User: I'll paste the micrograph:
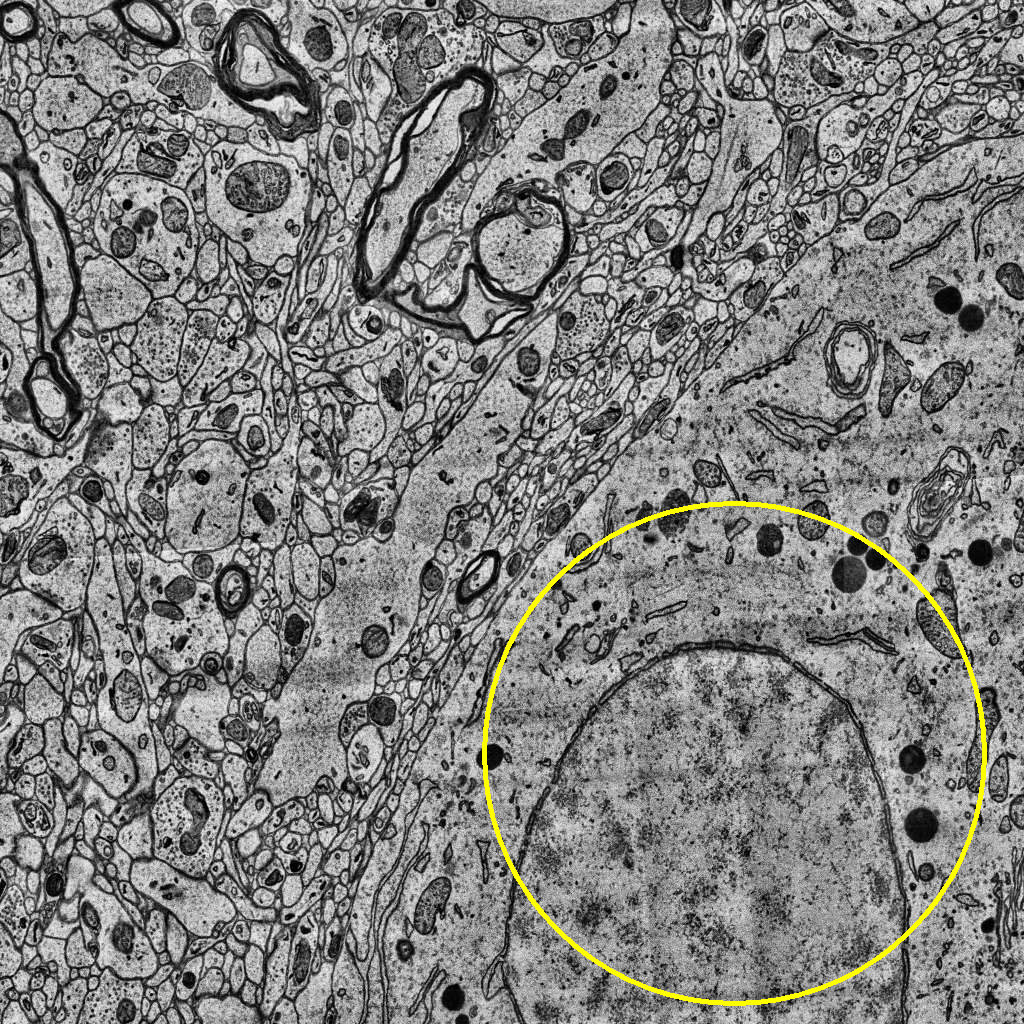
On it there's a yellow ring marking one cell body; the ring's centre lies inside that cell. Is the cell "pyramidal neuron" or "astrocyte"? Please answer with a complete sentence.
The cell at the centre of the yellow ring is a pyramidal neuron.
